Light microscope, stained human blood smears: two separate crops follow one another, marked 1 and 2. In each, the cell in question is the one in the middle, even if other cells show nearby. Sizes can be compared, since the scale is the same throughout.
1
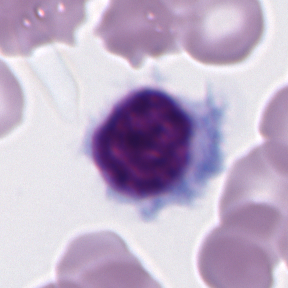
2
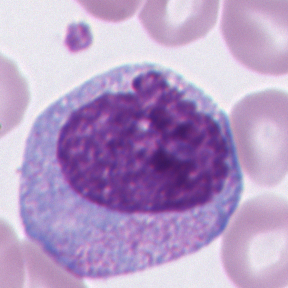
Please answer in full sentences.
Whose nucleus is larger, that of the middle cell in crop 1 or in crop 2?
The nucleus in crop 2 is larger, with about 2.5 times the area of the one in crop 1.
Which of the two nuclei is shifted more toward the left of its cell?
In crop 1 the nucleus is shifted more toward the left.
